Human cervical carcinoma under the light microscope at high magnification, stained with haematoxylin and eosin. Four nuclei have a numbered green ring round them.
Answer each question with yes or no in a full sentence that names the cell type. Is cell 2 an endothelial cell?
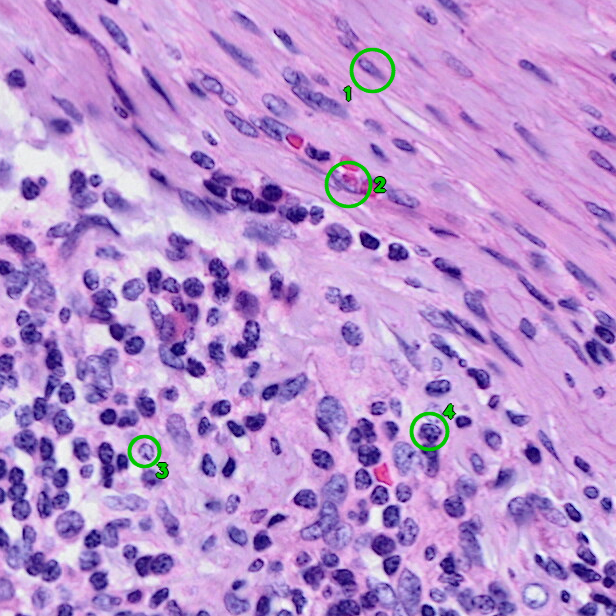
Yes, that is so; number 2 marks an endothelial cell.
